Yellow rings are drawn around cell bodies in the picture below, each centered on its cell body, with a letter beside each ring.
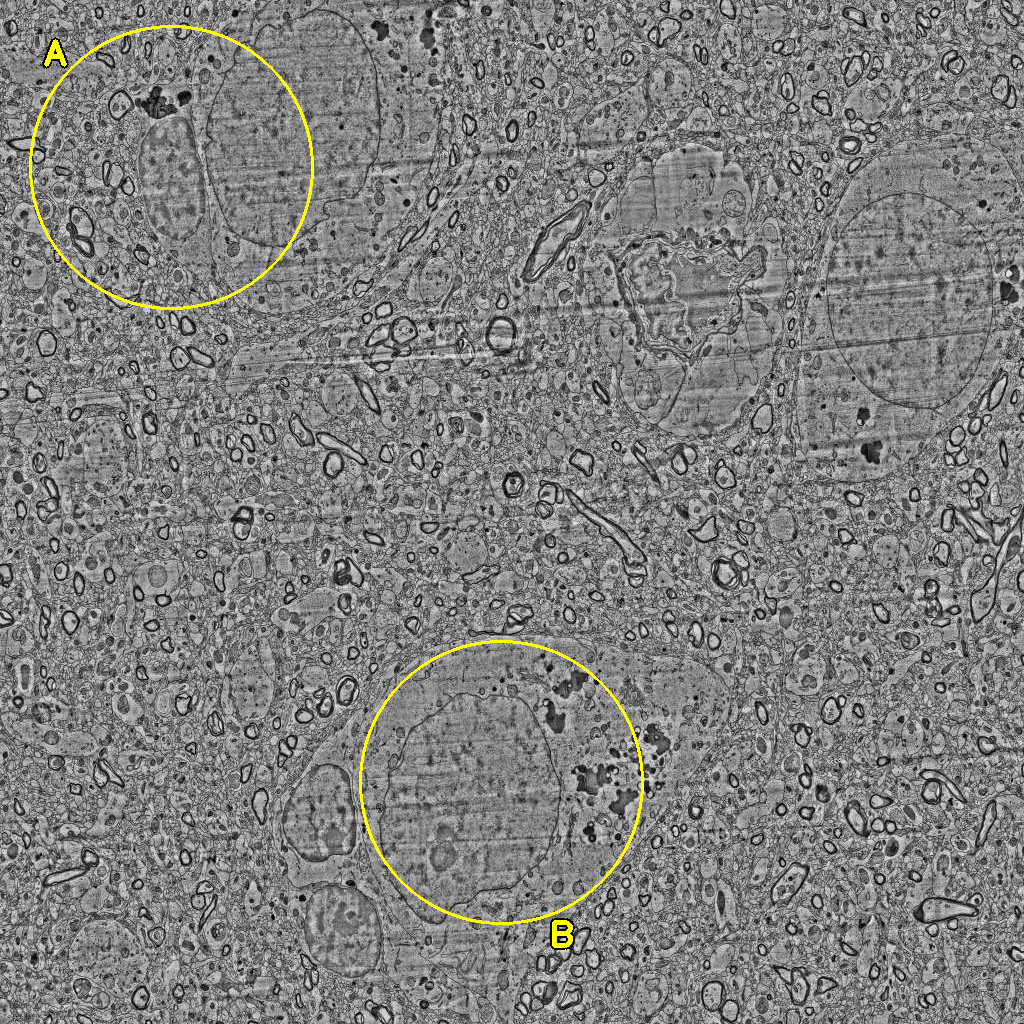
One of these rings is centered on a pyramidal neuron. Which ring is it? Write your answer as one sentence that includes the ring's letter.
It is ring B.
